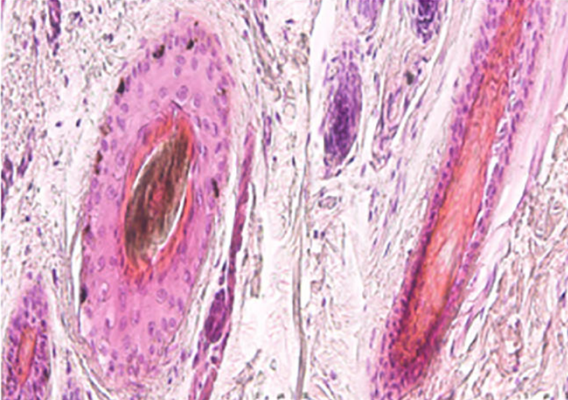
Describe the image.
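A hair follicle is seen in cross-section at the left, with an obliquely cut elongated follicle at the right. The cross-section has a thick ring of pale purple nucleated epithelial cells around a thin red layer enclosing a brown-pigmented shaft, with little clear space between them. The surrounding dermis is loose pale pink connective tissue with scattered dark purple nuclei.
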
